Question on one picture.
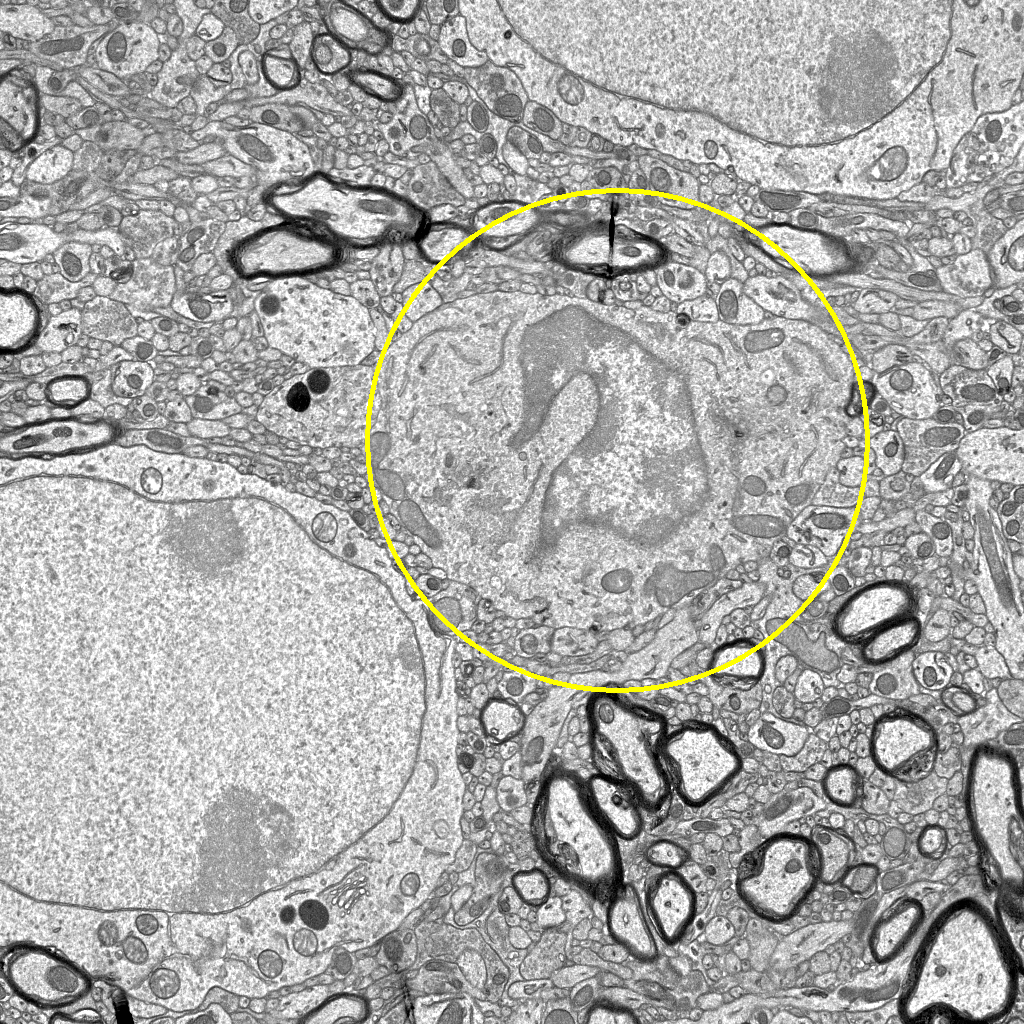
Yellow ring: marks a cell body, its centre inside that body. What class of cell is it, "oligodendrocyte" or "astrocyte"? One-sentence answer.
This is an oligodendrocyte, the cell at the ring's centre.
